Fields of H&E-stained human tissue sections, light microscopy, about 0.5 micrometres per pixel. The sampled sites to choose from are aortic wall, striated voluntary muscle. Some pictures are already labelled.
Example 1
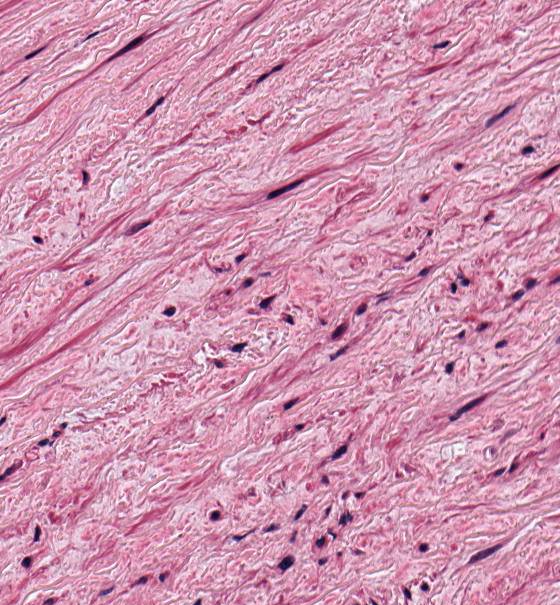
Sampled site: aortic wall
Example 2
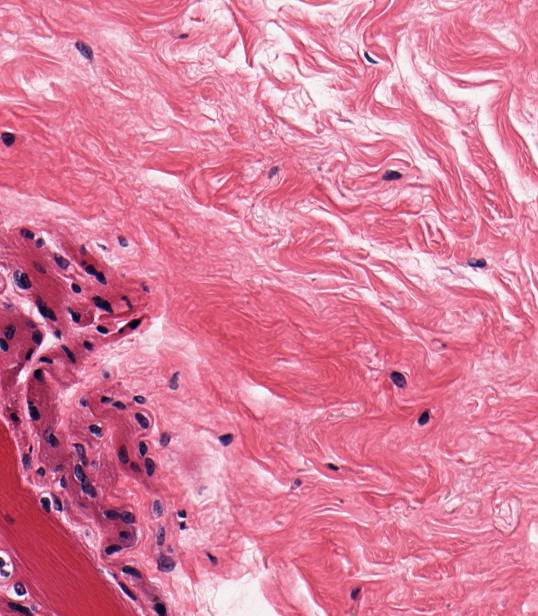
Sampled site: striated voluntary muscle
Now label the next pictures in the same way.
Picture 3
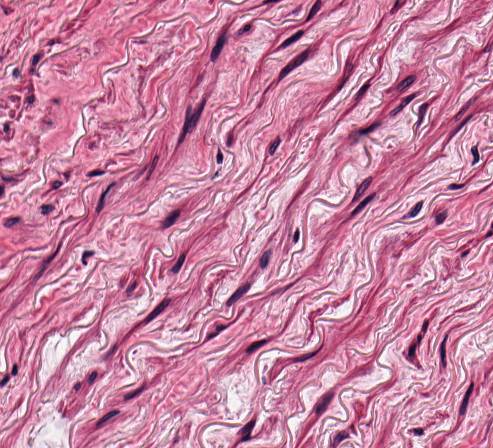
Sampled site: aortic wall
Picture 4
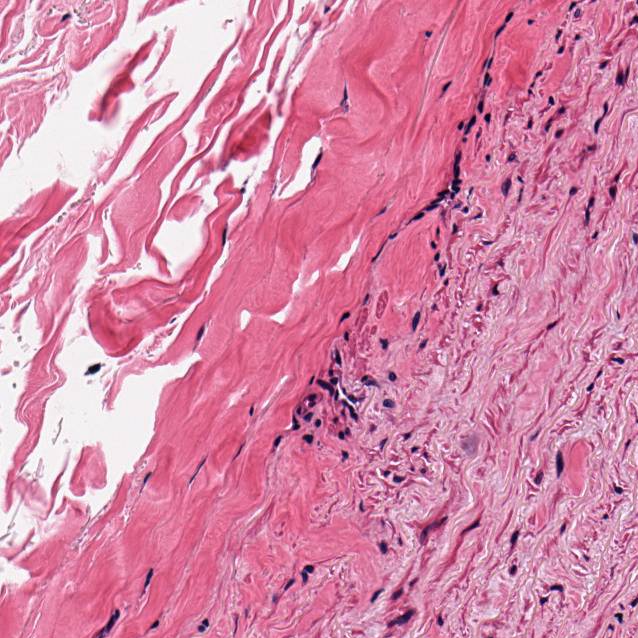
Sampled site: aortic wall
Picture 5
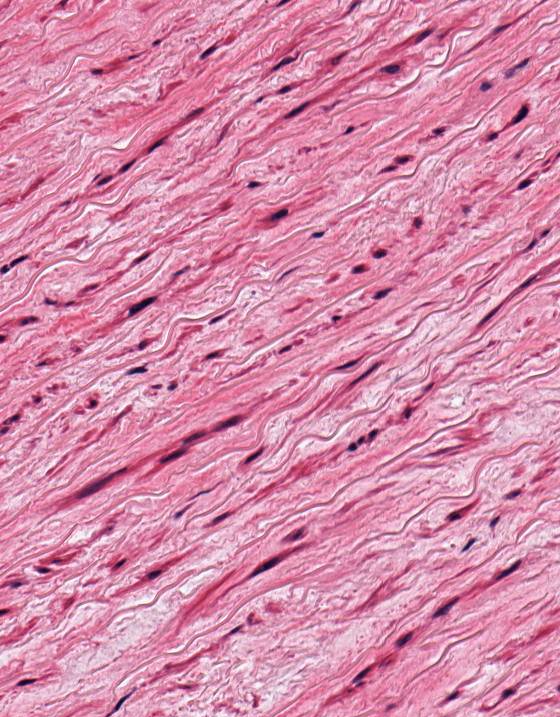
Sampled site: aortic wall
